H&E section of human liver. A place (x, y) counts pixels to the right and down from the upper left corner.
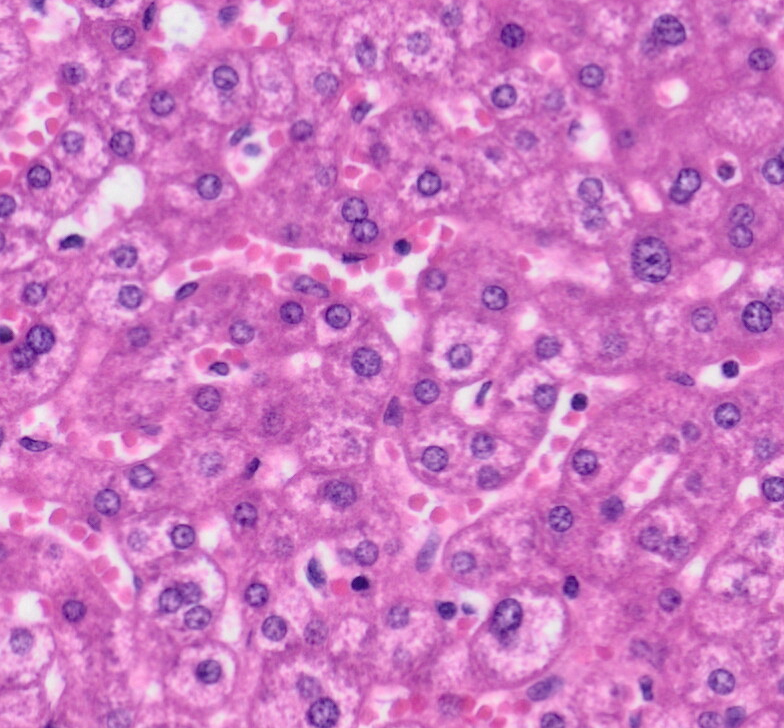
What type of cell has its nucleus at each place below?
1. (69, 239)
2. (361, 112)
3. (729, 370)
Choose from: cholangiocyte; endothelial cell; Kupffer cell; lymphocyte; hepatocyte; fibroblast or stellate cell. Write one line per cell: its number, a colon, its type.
1: lymphocyte
2: Kupffer cell
3: lymphocyte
